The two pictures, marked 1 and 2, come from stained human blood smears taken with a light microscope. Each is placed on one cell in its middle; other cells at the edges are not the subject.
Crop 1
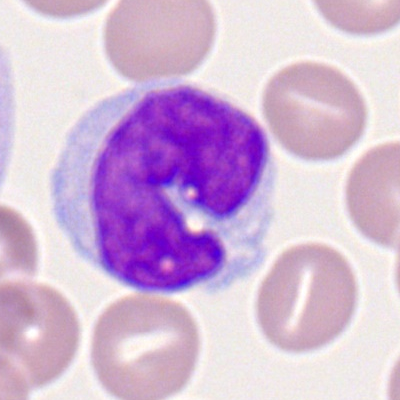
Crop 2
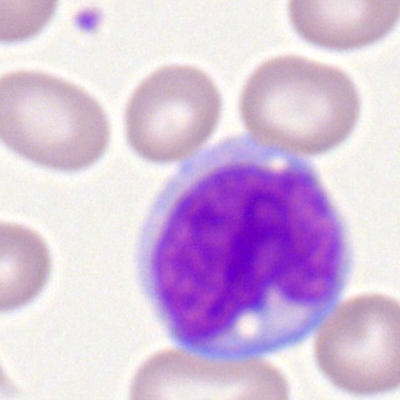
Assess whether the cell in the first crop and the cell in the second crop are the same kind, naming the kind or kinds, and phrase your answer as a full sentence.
Yes, the middle cells in both crops are indeed monocytes.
